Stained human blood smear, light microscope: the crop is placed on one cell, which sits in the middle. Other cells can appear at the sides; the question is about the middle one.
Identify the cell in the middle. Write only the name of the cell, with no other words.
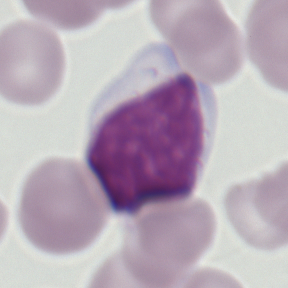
large granular lymphocyte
